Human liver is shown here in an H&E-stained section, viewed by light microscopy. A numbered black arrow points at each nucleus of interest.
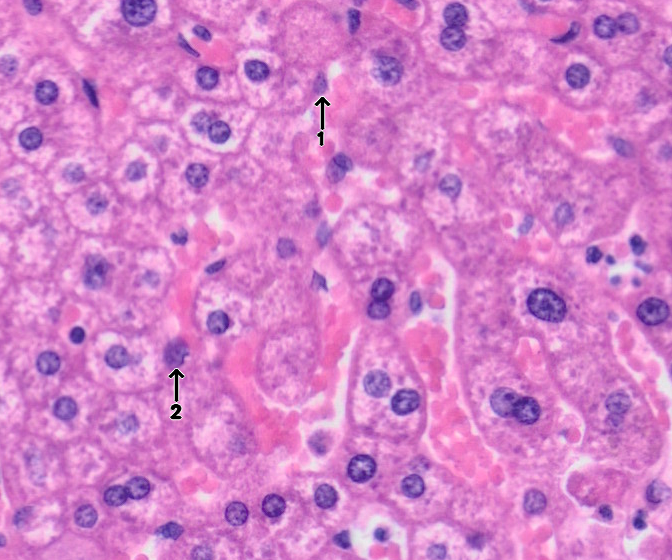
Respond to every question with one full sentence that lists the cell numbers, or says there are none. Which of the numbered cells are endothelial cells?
The numbered cell that is an endothelial cell is cell 2, and it is the only one.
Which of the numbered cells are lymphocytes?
Classed by type, none of the numbered cells are lymphocytes.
